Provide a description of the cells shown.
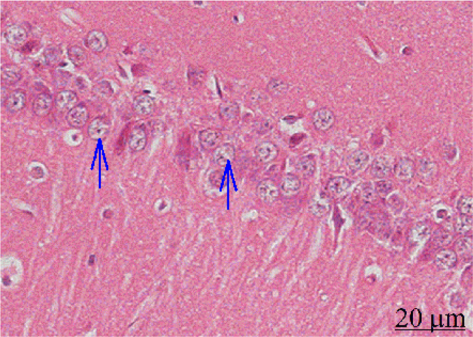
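A band of closely packed pyramidal neurons of the hippocampus crosses the pink neuropil diagonally. Their cell bodies are rounded, with a thin rim of pink-purple cytoplasm. Only a few cells look darker or more angular, and fine fibres run away from the layer into the surrounding pink tissue. These are normal hippocampal neurons in an orderly layer.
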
